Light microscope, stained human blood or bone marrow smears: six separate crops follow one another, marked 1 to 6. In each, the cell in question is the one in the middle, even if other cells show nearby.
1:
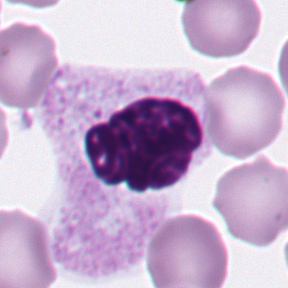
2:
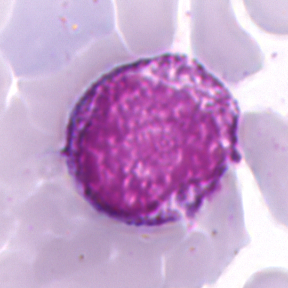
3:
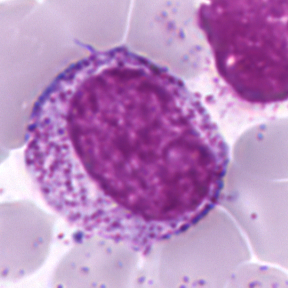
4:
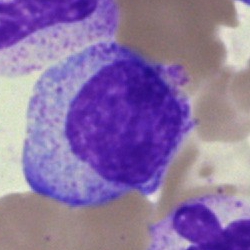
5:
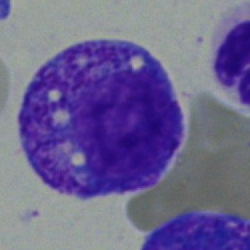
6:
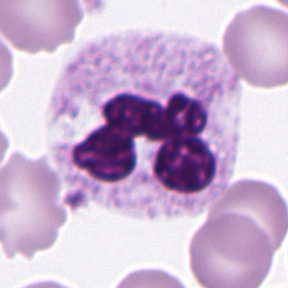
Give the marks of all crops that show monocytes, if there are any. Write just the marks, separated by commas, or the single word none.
none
